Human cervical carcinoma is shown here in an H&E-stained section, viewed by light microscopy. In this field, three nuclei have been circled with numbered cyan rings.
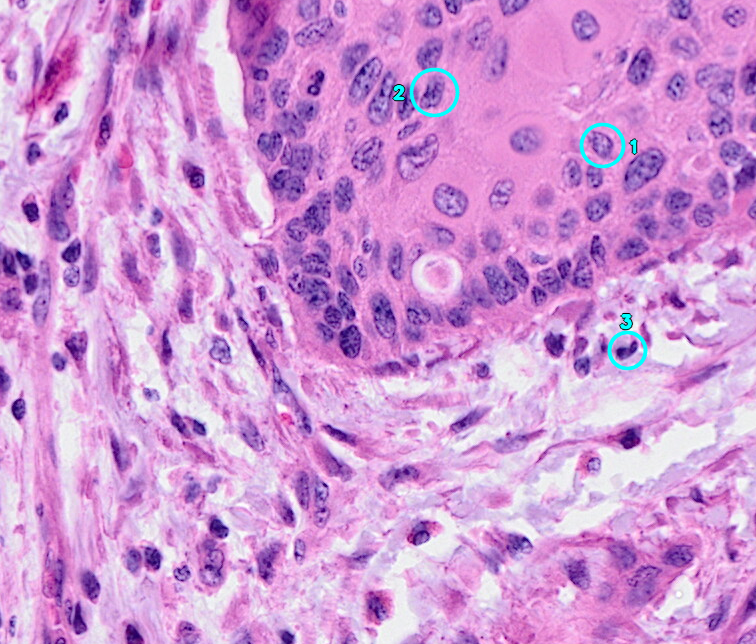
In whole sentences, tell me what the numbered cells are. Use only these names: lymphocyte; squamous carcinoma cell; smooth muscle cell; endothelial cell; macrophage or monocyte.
Cells 1 and 2 are squamous carcinoma cells. Cell 3 is a lymphocyte.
